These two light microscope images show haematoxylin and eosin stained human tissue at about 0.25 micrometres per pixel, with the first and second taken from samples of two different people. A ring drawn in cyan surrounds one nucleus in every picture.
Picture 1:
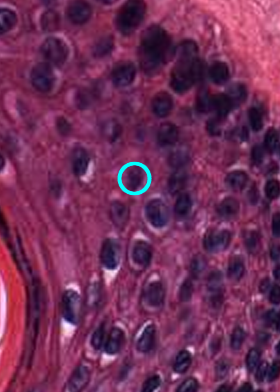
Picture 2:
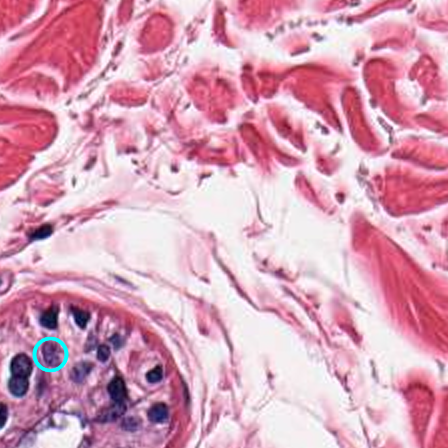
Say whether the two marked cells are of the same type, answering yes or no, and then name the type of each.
No, the first is a keratinocyte and the second a sweat gland cell.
